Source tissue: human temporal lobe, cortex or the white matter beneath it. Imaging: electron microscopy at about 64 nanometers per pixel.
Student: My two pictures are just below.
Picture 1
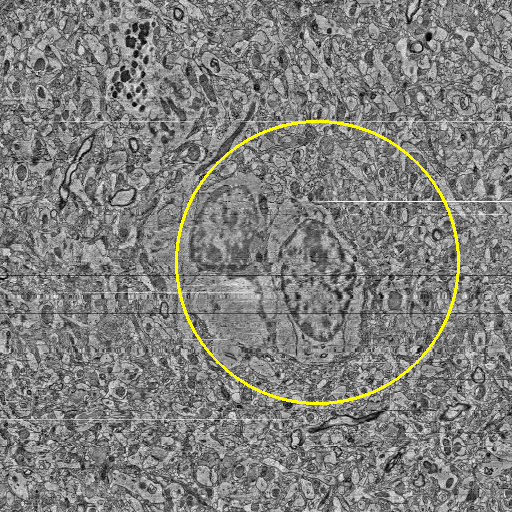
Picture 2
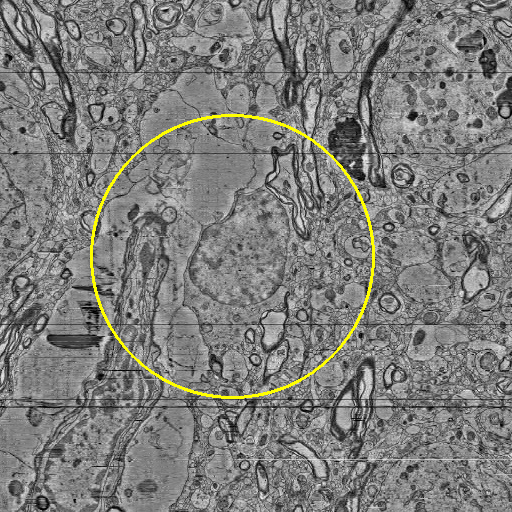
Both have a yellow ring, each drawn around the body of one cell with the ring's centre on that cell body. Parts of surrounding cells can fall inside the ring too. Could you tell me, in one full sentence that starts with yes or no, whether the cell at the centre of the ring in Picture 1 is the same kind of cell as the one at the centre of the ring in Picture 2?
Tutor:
No, the two cells are of two kinds.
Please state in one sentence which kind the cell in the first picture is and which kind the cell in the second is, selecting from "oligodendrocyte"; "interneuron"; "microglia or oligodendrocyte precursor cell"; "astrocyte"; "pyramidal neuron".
The first ringed cell is an astrocyte, the second ringed cell an oligodendrocyte.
